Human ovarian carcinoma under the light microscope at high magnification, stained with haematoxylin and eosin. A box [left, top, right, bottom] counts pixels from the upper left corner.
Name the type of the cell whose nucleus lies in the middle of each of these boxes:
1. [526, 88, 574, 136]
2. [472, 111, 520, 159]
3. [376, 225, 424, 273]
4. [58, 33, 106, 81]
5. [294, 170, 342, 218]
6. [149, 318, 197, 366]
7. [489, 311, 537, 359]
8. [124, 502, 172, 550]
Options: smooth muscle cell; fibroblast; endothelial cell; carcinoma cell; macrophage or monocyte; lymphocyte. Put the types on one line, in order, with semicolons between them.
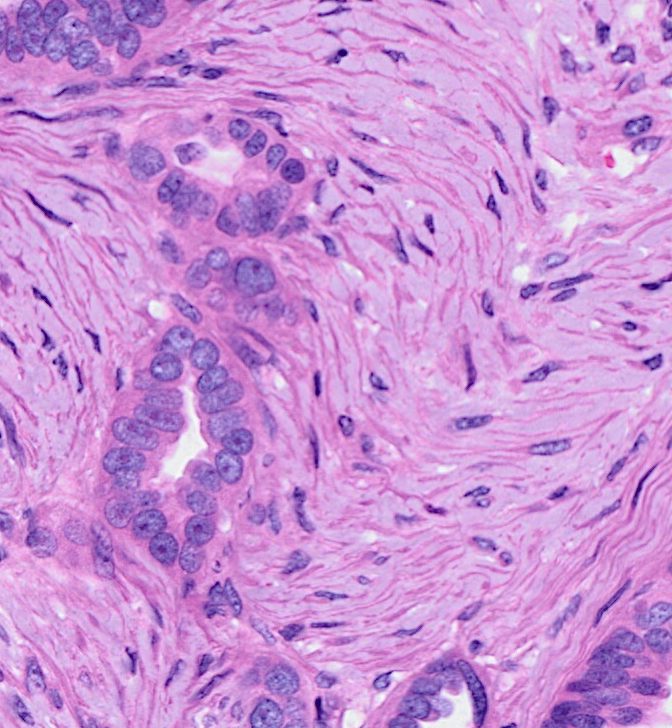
fibroblast; fibroblast; fibroblast; carcinoma cell; fibroblast; carcinoma cell; fibroblast; carcinoma cell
